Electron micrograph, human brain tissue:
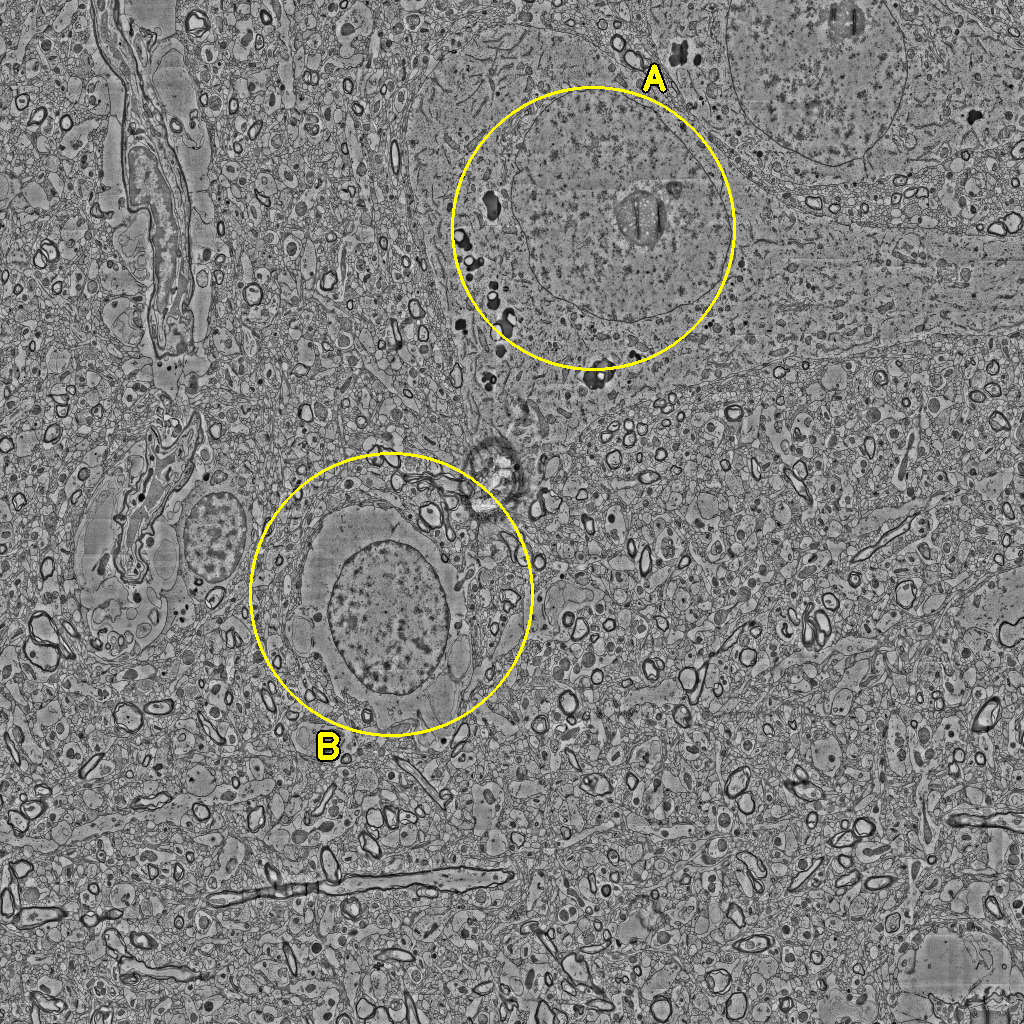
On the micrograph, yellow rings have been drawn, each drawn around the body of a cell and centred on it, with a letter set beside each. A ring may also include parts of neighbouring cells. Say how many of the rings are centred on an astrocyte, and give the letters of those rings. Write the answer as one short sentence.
Just one ring encircles an astrocyte at its centre, and that ring is marked B.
